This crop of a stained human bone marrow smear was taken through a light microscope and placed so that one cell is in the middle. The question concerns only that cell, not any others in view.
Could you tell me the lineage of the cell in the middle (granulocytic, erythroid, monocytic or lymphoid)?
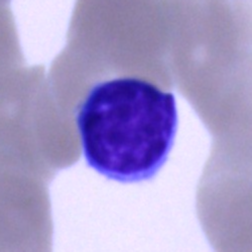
lymphoid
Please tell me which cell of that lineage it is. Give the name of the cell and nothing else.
lymphocyte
